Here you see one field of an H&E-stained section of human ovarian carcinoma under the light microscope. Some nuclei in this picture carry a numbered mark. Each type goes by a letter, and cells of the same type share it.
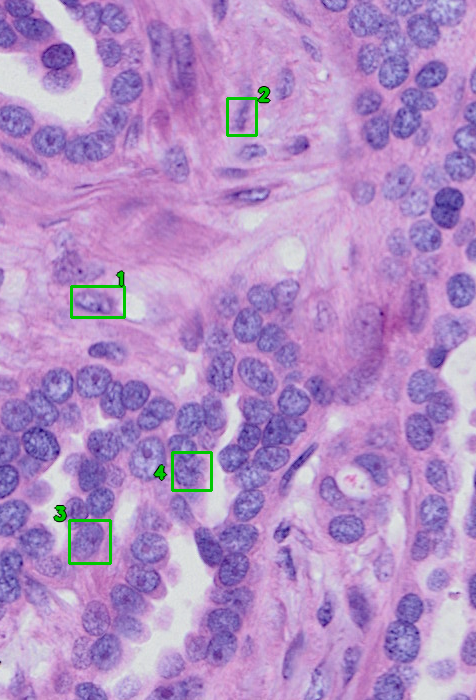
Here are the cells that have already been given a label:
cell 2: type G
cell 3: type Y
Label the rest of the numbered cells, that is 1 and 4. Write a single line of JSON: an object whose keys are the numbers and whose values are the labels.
{"1": "type G", "4": "type Y"}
